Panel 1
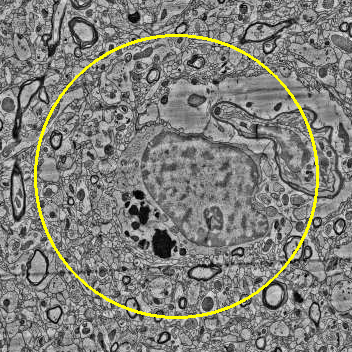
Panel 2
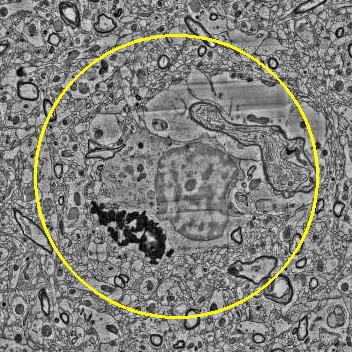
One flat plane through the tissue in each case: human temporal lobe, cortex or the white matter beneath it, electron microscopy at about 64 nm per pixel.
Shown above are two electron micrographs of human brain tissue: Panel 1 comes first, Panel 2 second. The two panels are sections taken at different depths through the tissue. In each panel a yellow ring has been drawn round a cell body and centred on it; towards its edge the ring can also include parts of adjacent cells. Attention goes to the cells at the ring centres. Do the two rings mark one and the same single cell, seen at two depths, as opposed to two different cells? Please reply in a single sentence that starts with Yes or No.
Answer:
Yes, one single cell is under each of the two rings.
